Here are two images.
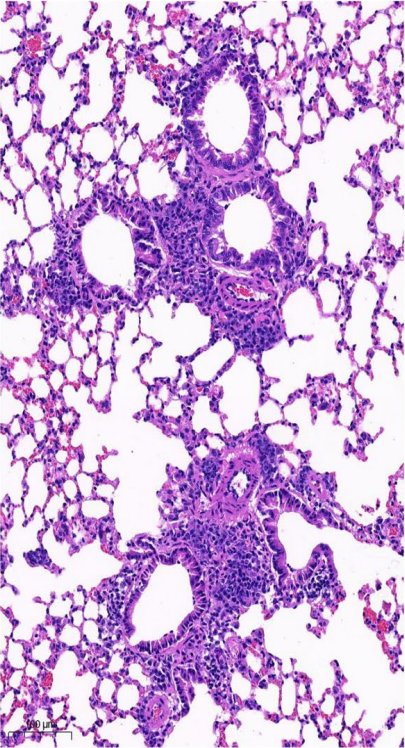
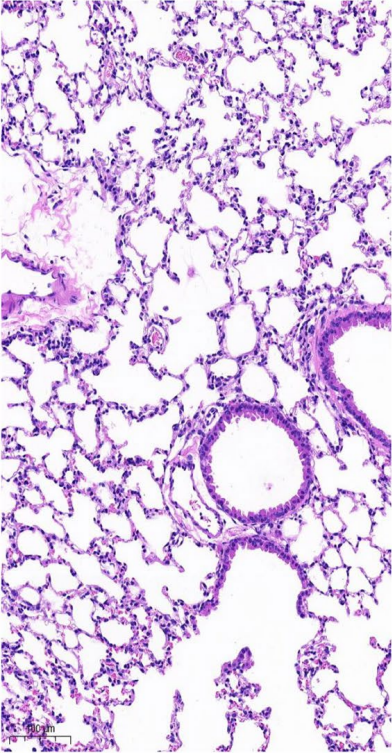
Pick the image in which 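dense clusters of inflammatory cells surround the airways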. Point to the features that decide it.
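Second image: airways are surrounded by thin walls and open alveoli without dense cell clusters. First image: airways and a vessel are embedded in thick sheets of small dark nuclei. The answer: the first image.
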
